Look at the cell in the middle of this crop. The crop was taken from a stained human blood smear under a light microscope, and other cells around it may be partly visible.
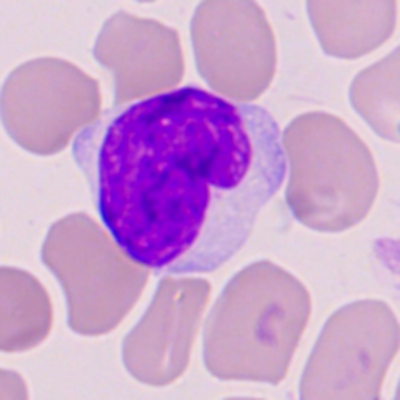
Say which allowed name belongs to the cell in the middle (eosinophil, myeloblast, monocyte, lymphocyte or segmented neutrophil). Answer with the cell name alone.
lymphocyte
